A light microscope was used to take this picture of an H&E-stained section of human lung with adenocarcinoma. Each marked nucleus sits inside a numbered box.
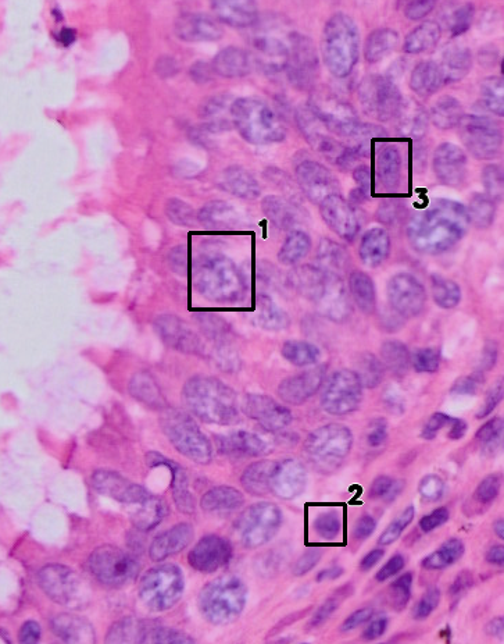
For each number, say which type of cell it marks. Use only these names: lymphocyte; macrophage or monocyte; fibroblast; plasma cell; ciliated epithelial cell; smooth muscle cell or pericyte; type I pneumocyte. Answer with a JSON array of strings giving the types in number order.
["ciliated epithelial cell", "lymphocyte", "ciliated epithelial cell"]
